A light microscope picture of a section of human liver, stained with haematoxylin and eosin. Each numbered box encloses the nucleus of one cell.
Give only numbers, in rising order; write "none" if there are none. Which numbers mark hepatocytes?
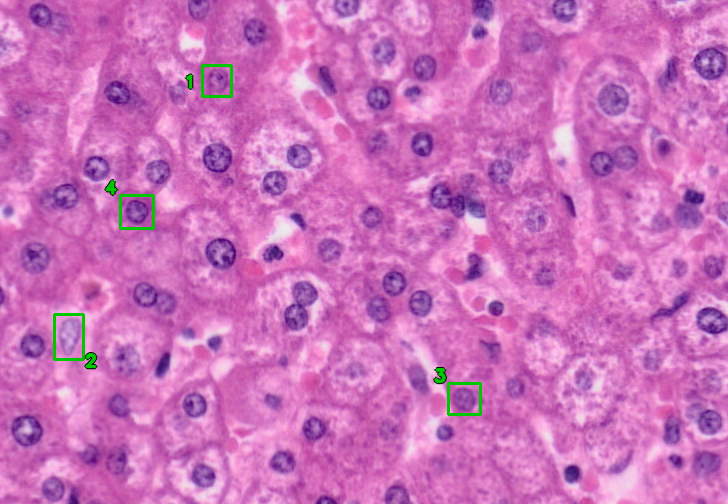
1, 3, 4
